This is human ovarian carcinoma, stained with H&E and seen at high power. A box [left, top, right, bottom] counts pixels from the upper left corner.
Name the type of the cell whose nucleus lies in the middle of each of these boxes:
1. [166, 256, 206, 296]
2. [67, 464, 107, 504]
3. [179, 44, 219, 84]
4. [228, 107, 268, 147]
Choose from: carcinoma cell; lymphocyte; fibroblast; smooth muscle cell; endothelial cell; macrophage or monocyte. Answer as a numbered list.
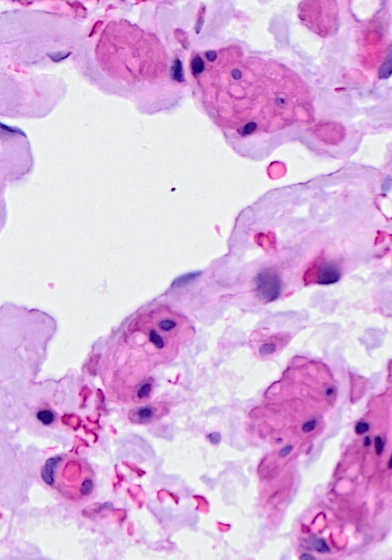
1. endothelial cell
2. endothelial cell
3. smooth muscle cell
4. smooth muscle cell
